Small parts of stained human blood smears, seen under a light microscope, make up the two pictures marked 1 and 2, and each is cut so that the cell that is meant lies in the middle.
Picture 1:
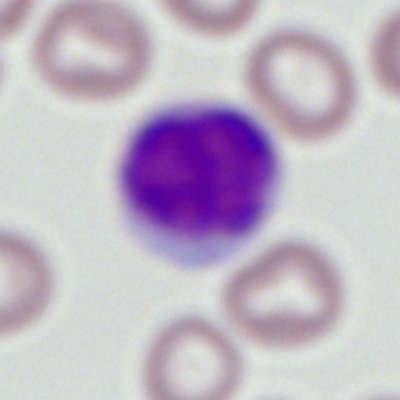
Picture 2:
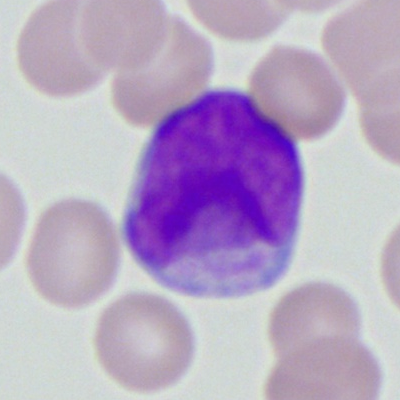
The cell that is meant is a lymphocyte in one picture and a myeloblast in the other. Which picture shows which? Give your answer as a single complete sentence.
Picture 1 is of a lymphocyte, and picture 2 is of a myeloblast.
